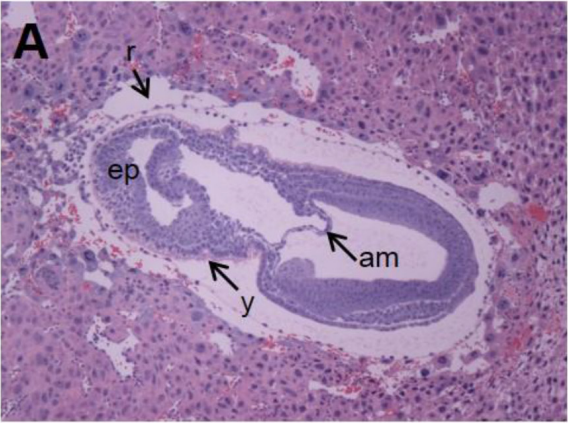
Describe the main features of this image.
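A sagittal section through an early post-gastrulation embryo lying in a cleft-like cavity, its body formed by layered sheets of densely packed cells with purple-stained nuclei around a large central cavity. A thin membrane (amnion) crosses the cavity, a compact cell mass (ectoplacental cone) sits at one end, and the embryo is enclosed by a thin yolk sac layer and an outer thin membrane. Around it lies pink tissue of large polygonal cells with small vessels holding red blood cells.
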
